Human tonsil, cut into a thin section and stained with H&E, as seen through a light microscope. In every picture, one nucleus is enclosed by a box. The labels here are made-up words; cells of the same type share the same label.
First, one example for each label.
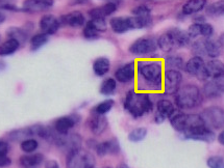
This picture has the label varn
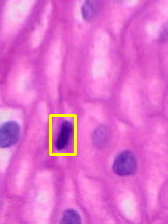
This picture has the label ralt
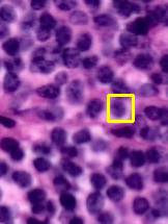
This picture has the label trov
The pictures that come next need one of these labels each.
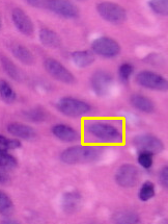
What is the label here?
ralt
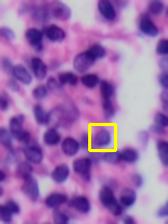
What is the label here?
trov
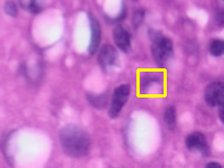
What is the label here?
ralt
